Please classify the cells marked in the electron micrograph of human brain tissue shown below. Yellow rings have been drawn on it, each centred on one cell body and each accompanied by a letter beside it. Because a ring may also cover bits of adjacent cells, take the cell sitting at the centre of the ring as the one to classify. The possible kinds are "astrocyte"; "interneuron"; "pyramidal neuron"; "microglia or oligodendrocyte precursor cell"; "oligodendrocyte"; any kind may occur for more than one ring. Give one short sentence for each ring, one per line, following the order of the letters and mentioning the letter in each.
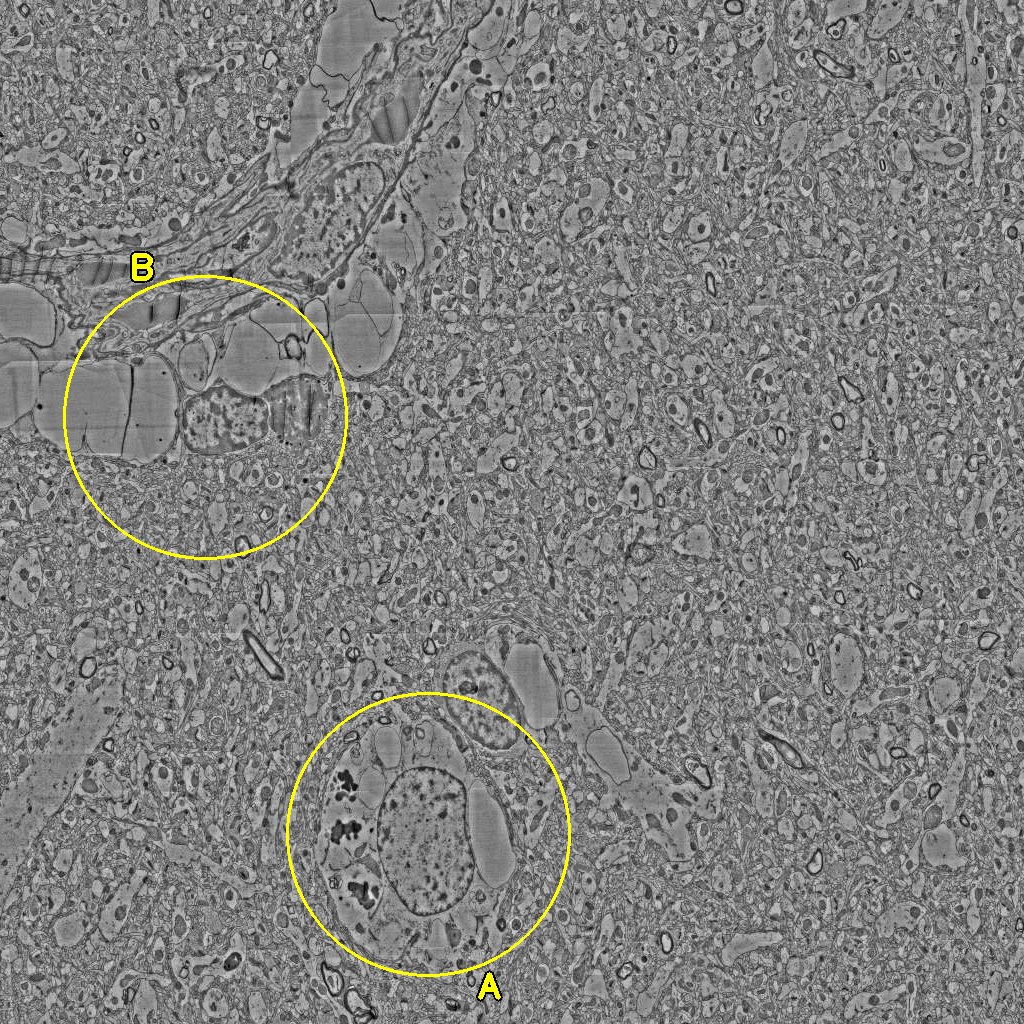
Ring A marks the cell body of an astrocyte.
Ring B marks the cell body of a microglial cell or oligodendrocyte precursor cell.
